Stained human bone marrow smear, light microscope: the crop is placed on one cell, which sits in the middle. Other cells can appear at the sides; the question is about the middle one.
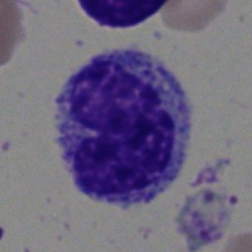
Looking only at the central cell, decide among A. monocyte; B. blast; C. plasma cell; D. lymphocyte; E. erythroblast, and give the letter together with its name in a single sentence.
Option A is correct, naming the cell in the middle as a monocyte.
